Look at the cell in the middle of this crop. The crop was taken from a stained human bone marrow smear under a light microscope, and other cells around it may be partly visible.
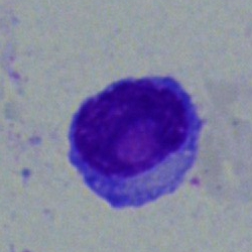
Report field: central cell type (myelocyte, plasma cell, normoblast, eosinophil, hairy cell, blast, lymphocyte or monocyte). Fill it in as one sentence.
Regarding the central cell, it is a lymphocyte.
